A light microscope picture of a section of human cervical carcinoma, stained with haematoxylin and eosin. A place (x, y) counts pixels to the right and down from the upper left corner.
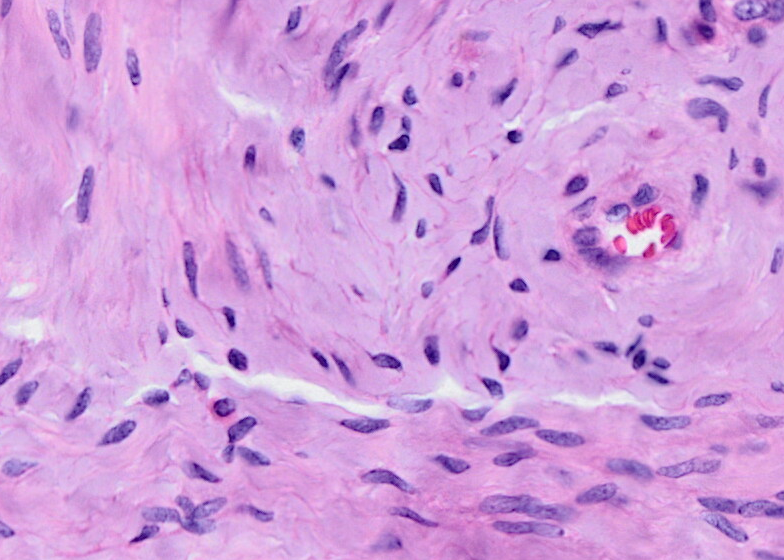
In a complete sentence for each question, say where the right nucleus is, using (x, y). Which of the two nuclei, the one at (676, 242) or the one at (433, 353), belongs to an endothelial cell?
The nucleus at (676, 242) is contained in an endothelial cell.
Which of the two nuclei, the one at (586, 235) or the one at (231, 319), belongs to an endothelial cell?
Among the two nuclei, the one found at (586, 235) belongs to an endothelial cell.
